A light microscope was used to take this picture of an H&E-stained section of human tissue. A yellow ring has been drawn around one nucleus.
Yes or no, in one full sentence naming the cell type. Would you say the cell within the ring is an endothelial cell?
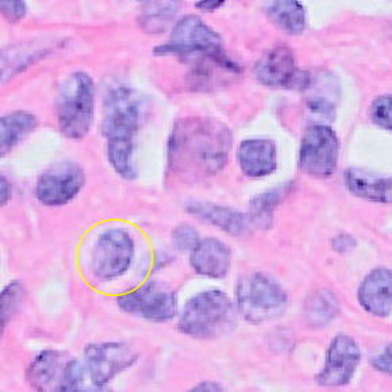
No, the cell within the ring is classed as a carcinoma cell, not as an endothelial cell.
